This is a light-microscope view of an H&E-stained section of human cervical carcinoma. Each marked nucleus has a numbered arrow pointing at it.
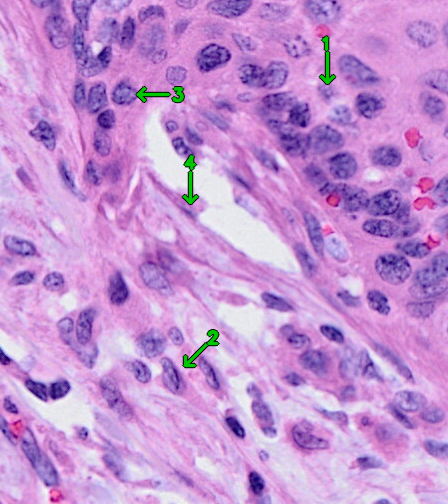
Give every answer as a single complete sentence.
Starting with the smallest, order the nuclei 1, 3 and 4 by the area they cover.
The order from the smallest nucleus to the largest is 4, 1, 3.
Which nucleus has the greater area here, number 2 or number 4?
Of the two, number 2 is bigger and takes up about 4 times the area of number 4.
